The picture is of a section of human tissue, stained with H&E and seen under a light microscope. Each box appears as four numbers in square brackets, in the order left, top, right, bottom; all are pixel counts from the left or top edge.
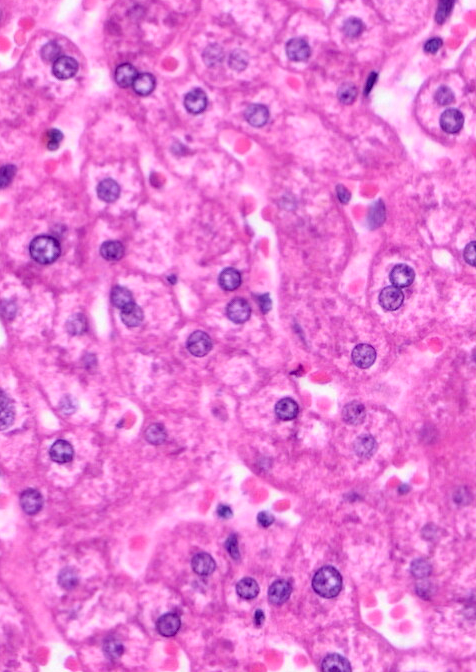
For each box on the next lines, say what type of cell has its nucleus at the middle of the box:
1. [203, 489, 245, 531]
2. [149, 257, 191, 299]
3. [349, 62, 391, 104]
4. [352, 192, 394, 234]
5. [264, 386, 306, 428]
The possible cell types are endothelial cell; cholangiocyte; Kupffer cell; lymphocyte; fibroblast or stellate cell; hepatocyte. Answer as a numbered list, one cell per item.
1. lymphocyte
2. fibroblast or stellate cell
3. fibroblast or stellate cell
4. endothelial cell
5. hepatocyte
